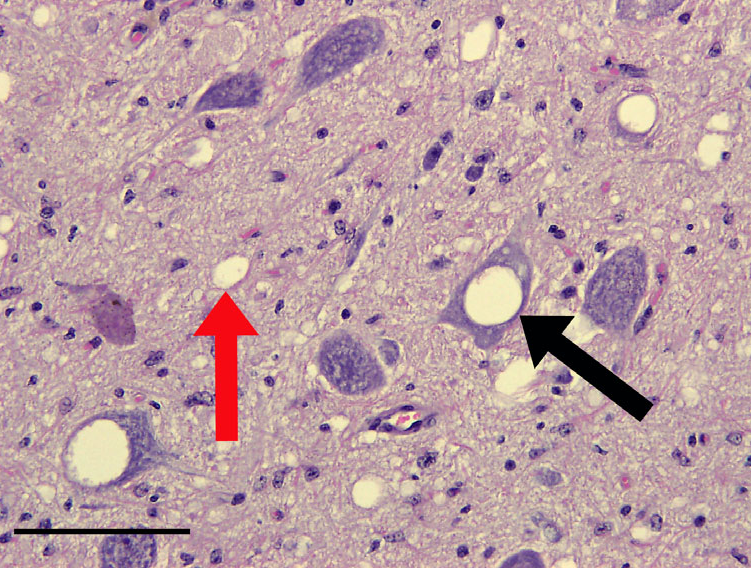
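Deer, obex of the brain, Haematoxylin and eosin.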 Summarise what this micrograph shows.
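The neurons have big angular purple cell bodies, and several of them carry one large round, sharply edged, empty clear space that fills much of the cell body and pushes the cytoplasm to a thin rim. Smaller round clear holes of varied size are dotted through the neuropil between the cells, giving a sieve-like, sponge-like look. A small blood vessel with red cells lies near the centre bottom. Together these are the vacuoles of spongiform change, both within neuronal cell bodies and in the neuropil.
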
